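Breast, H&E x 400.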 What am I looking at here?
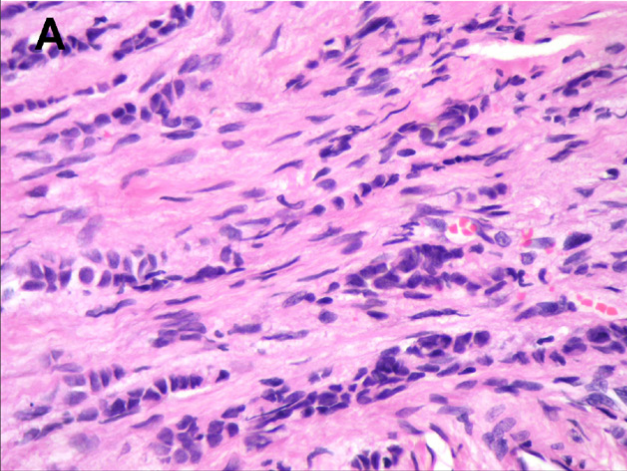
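The tumor cells have dark, mildly irregular nuclei and scant cytoplasm. Small vessels with red blood cells lie between the files.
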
